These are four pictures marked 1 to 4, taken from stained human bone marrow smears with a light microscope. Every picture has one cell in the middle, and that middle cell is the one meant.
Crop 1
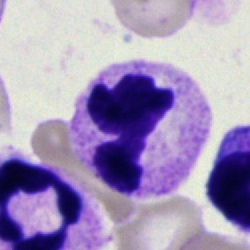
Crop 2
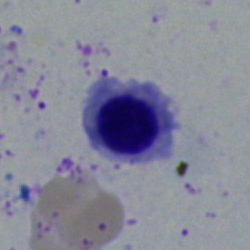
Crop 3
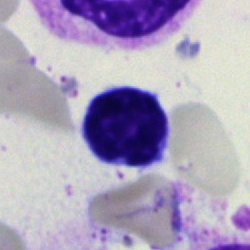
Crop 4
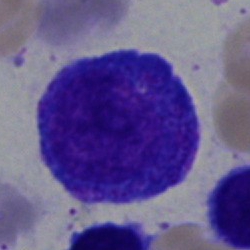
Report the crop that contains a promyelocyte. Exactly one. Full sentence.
Of all the crops, crop 4 is the one showing a promyelocyte.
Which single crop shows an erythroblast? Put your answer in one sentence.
So the crop with an erythroblast at its center is crop 2.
